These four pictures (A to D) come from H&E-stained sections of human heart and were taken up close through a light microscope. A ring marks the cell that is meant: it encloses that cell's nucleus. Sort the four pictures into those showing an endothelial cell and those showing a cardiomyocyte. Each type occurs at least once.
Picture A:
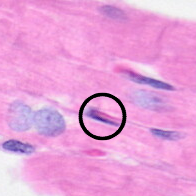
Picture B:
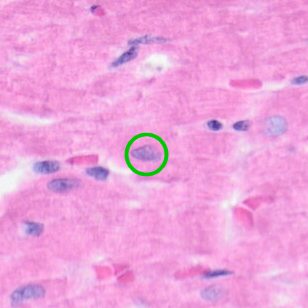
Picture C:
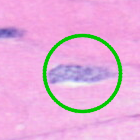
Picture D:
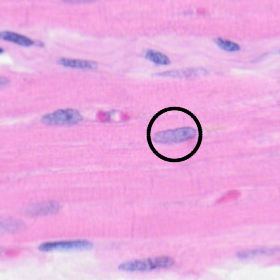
A: endothelial cell
B: cardiomyocyte
C: cardiomyocyte
D: cardiomyocyte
